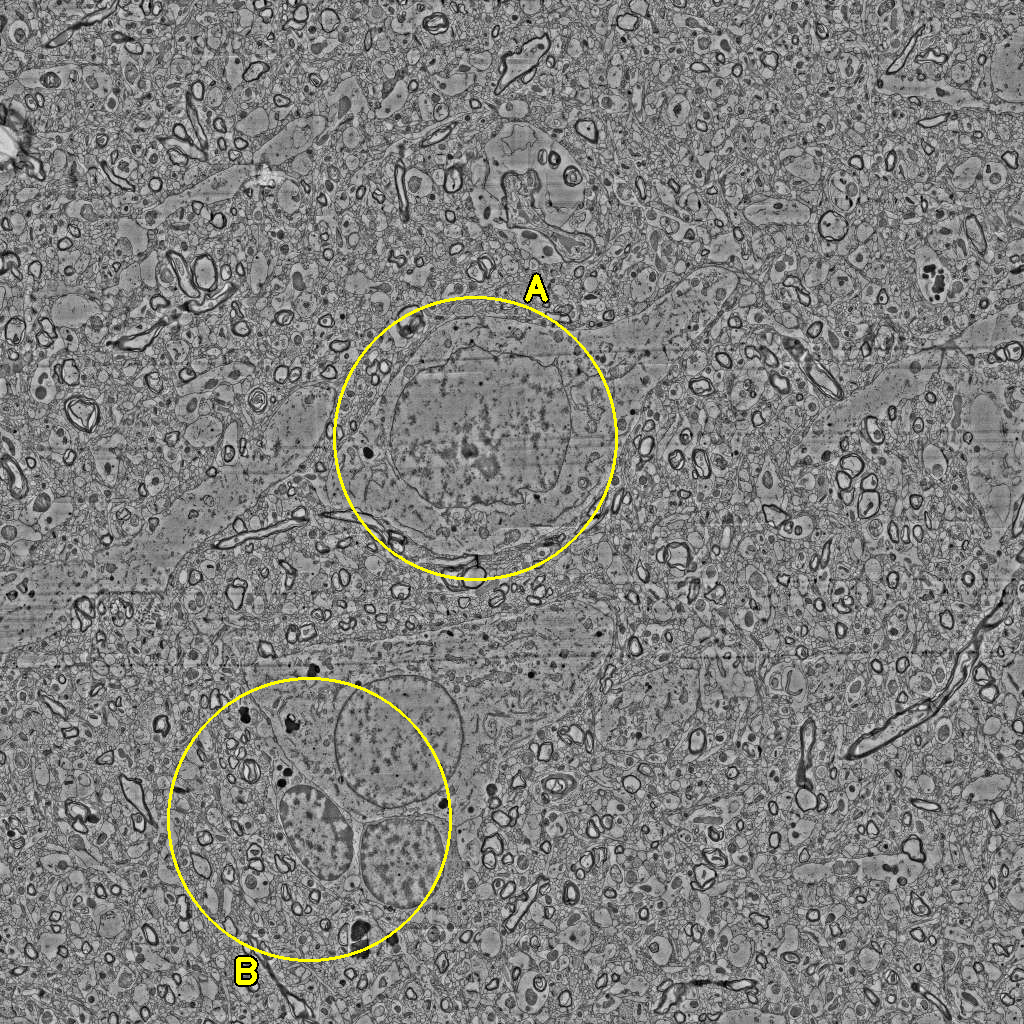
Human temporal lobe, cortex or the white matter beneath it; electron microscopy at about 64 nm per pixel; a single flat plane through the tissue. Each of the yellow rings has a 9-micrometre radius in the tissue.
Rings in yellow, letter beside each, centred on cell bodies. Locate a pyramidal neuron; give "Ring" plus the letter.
Ring A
